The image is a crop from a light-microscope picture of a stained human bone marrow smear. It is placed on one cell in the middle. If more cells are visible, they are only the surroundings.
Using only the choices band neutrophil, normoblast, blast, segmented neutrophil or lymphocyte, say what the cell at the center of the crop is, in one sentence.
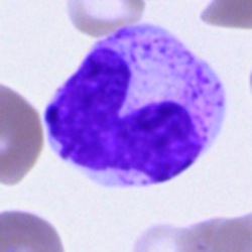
The cell around which this crop is centred is a band neutrophil.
